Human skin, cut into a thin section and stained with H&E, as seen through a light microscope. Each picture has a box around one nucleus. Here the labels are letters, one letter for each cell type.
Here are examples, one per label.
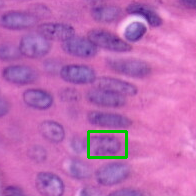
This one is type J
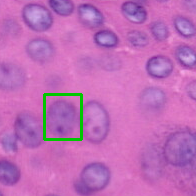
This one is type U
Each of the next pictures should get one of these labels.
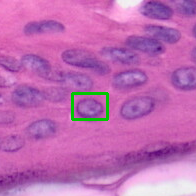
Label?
type U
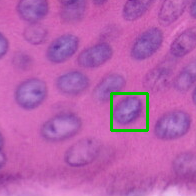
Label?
type U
